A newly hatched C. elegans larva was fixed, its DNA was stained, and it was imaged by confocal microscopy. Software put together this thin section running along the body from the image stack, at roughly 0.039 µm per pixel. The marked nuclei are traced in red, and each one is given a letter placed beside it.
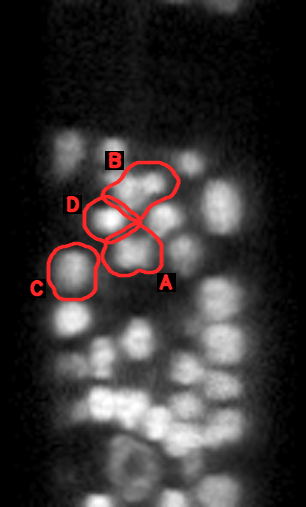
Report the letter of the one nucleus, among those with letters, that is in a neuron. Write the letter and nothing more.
C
